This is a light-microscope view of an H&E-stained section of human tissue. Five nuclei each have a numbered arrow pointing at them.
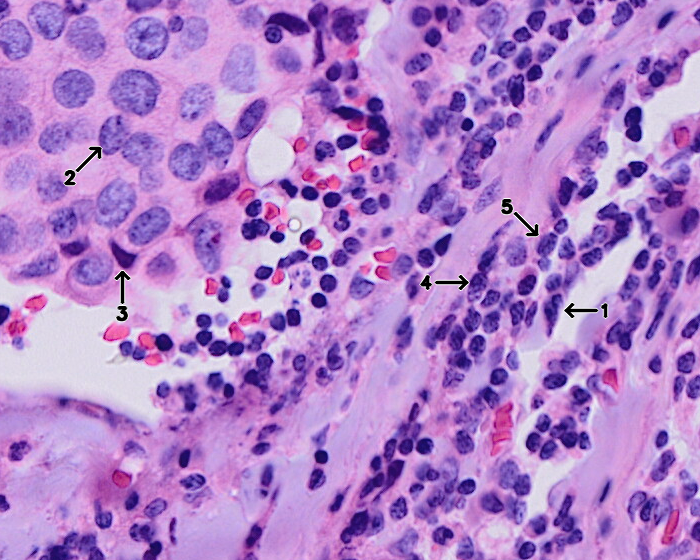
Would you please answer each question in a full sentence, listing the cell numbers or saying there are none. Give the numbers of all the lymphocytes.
The cells with numbers 1, 4 and 5 are lymphocytes by type.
